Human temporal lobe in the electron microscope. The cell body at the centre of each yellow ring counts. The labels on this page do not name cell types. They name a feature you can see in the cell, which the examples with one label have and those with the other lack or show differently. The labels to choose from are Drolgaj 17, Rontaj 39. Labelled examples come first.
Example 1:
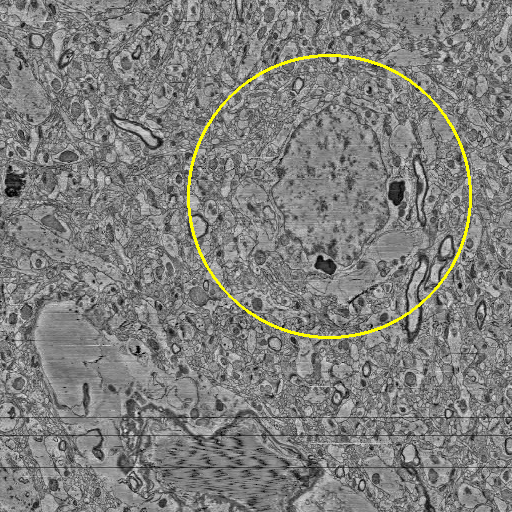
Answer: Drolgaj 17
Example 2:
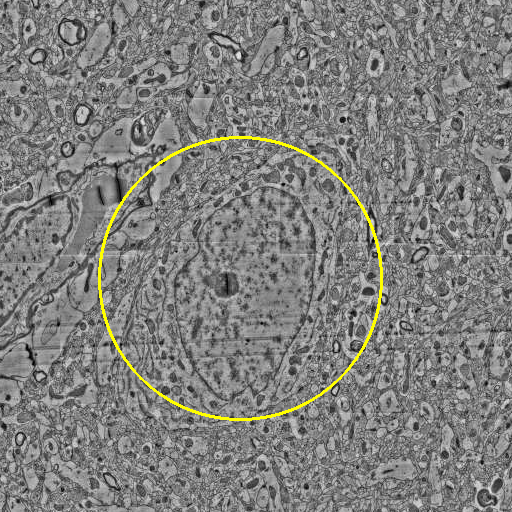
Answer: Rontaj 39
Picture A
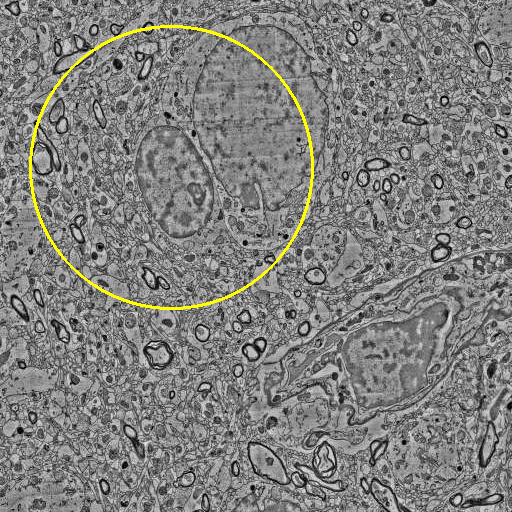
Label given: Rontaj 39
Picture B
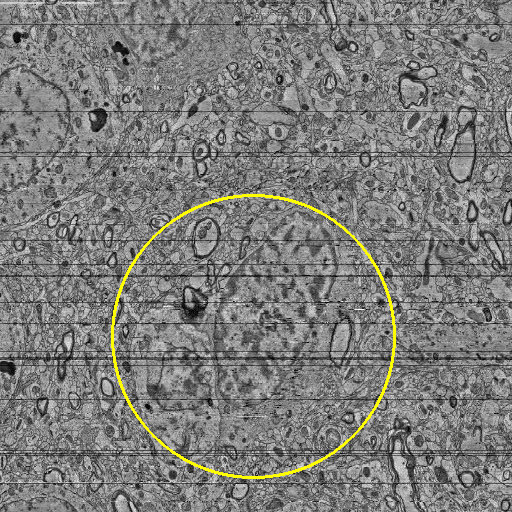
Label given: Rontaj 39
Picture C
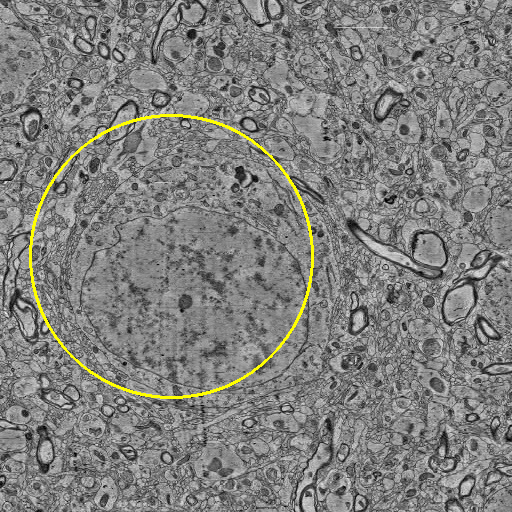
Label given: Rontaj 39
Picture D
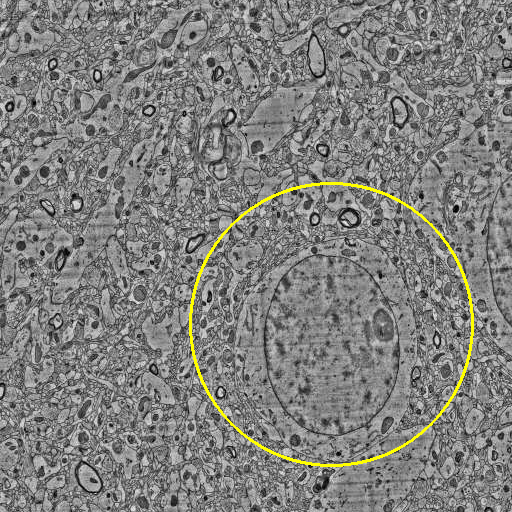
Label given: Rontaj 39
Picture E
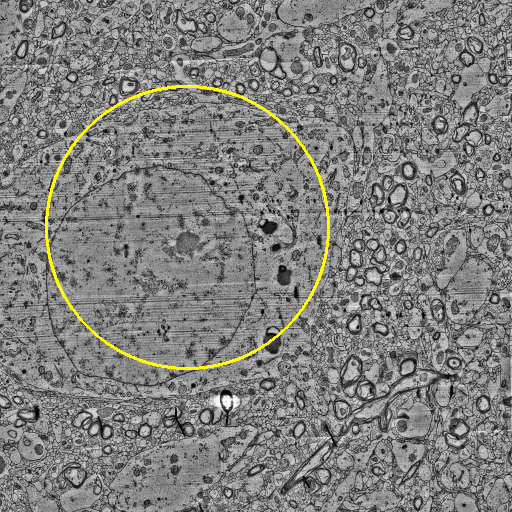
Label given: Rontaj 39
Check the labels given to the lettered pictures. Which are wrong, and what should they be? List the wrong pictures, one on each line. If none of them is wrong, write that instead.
Wrong: B (Rontaj 39); correct: Drolgaj 17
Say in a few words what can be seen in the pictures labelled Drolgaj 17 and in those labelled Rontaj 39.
Seen in Drolgaj 17: no nucleolus seen; seen in Rontaj 39: nucleolus seen.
